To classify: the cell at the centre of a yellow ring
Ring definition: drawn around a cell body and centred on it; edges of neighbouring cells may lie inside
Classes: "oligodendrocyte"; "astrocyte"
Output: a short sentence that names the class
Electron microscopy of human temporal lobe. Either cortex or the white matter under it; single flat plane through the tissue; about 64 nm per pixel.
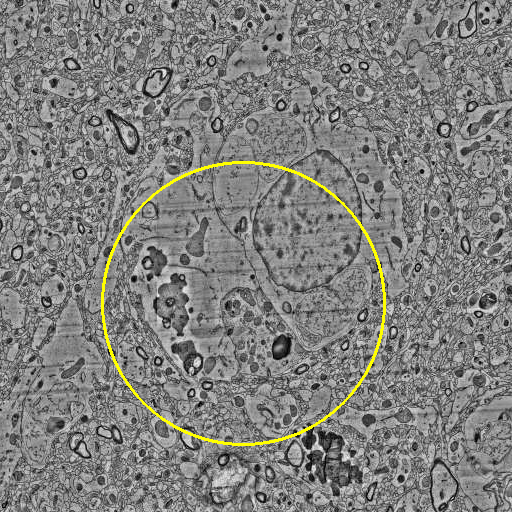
The ringed cell is an oligodendrocyte.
